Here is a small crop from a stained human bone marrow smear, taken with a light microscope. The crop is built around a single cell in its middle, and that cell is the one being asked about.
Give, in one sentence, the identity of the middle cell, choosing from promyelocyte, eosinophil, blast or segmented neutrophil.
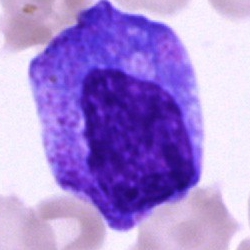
The cell in the exact centre of the crop is a promyelocyte.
